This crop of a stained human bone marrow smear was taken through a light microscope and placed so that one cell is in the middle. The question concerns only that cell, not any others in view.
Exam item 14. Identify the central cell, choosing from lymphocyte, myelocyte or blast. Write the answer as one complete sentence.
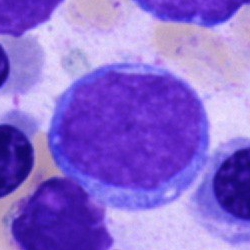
Here the cell in the middle is a blast.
